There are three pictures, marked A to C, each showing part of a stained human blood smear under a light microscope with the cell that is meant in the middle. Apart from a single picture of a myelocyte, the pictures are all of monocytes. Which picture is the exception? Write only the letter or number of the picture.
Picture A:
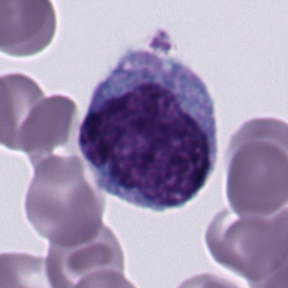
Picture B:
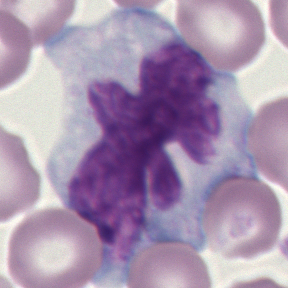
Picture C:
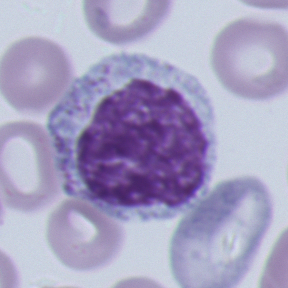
C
